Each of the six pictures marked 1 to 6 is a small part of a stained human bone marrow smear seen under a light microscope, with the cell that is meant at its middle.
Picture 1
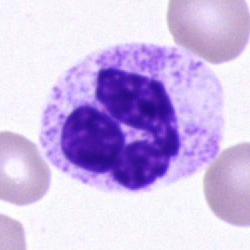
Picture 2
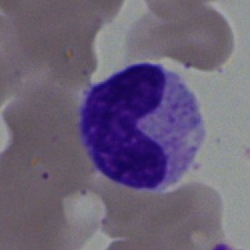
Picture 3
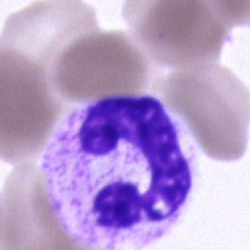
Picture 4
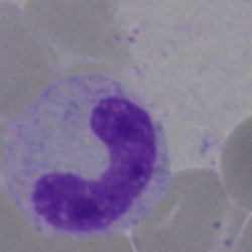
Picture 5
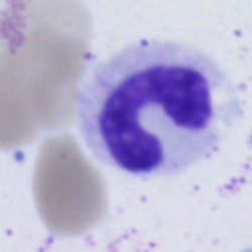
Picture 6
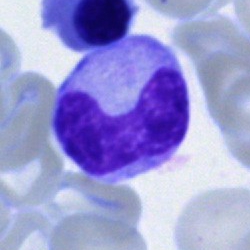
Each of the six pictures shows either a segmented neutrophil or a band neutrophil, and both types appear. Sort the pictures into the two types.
1: segmented neutrophil
2: band neutrophil
3: segmented neutrophil
4: band neutrophil
5: band neutrophil
6: band neutrophil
